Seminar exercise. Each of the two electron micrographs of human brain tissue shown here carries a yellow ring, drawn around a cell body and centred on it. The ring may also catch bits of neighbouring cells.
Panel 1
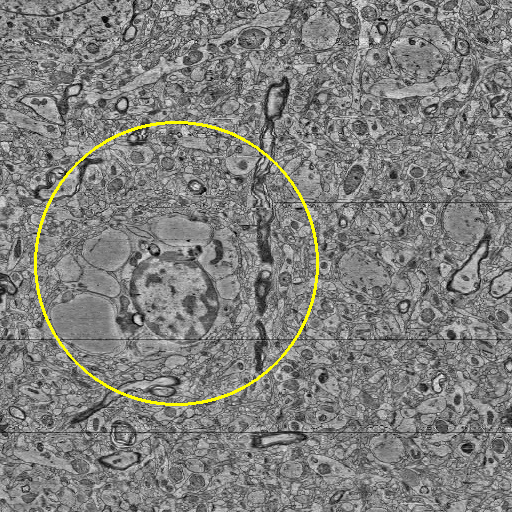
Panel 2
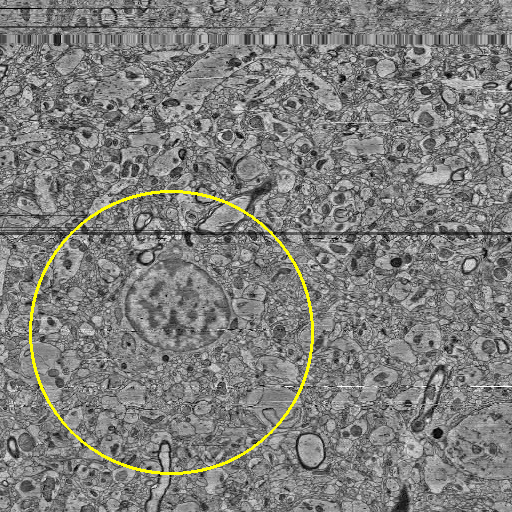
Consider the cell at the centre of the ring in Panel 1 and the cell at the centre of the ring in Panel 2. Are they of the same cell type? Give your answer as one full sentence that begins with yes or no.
No, the two cells are of two types.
